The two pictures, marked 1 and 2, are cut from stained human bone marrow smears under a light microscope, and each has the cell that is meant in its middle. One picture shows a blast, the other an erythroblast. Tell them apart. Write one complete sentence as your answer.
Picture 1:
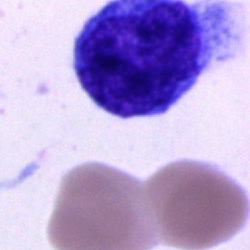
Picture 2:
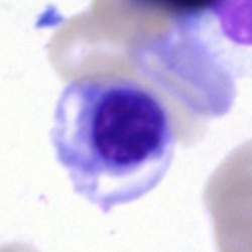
Picture 2 shows an erythroblast, while picture 1 shows a blast.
